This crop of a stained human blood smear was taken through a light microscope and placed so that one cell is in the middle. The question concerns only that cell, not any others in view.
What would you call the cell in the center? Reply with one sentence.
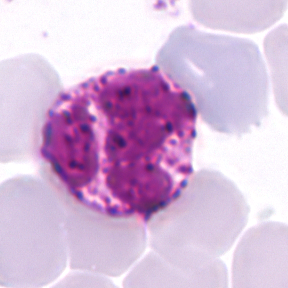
What sits at the centre of this crop is a basophil.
